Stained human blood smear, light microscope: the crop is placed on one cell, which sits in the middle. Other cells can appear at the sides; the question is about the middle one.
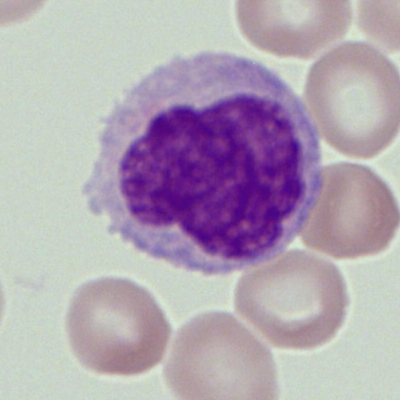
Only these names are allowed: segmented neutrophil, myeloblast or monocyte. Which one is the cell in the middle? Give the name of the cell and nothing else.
monocyte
